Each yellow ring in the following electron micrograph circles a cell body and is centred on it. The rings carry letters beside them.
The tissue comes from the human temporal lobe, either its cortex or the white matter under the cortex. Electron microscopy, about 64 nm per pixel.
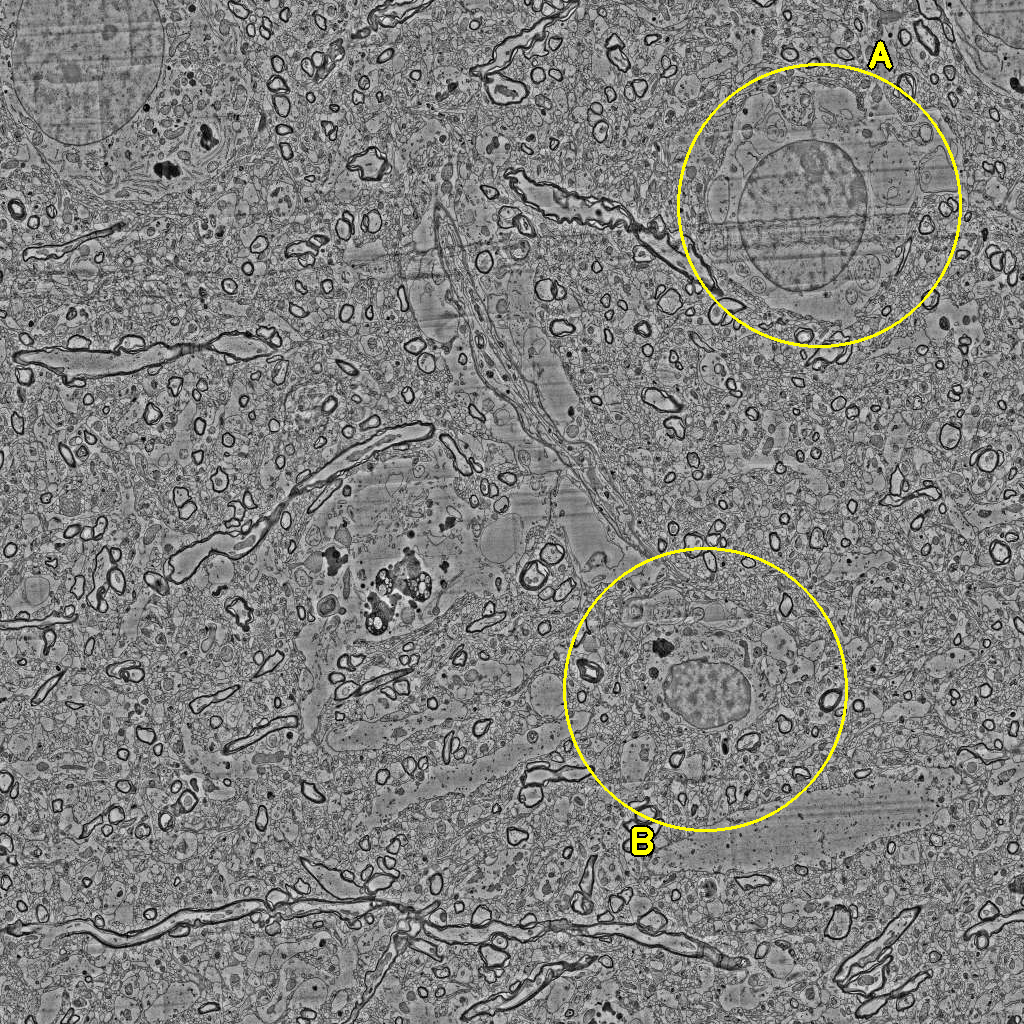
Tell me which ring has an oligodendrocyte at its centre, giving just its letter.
B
